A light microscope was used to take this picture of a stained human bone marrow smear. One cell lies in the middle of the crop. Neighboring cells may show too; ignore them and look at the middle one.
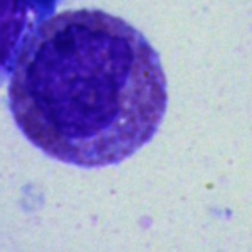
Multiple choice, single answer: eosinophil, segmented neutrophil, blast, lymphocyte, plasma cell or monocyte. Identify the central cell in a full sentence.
Framed in the middle of the crop is an eosinophil.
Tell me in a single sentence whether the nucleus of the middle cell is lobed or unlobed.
The nucleus is one compact mass, round, oval or kidney-shaped in outline.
